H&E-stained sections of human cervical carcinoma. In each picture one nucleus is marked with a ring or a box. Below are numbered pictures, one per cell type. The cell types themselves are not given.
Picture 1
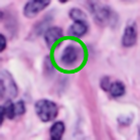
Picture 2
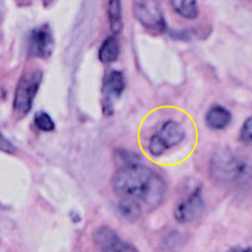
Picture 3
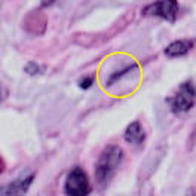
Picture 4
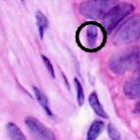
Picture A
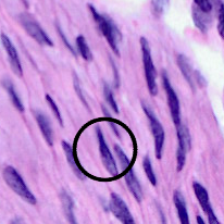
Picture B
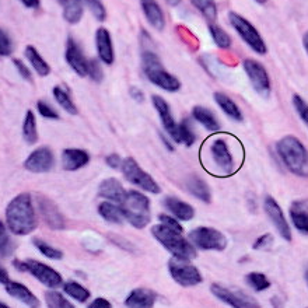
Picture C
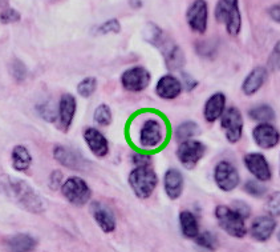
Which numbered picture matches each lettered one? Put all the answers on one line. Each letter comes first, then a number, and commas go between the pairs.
A 3, B 3, C 1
